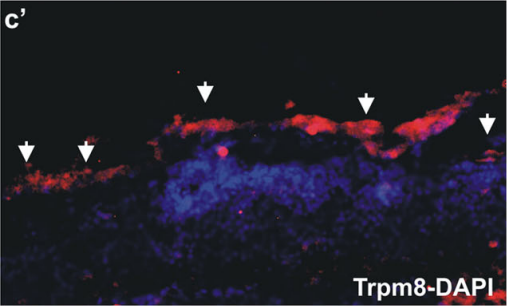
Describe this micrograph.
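The red label forms flattened, elongated patches and rounded clusters that run along the upper surface of the section. Several of these patches sit side by side along the surface, and some are thicker and more compact than others. Beneath this superficial layer, densely packed blue nuclei fill the deeper tissue, which carries little or no red label.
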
